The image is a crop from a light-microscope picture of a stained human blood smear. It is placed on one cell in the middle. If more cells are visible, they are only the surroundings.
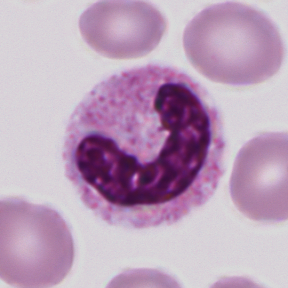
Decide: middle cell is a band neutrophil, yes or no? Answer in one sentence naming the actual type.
Yes, the cell that occupies the centre is a band neutrophil.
